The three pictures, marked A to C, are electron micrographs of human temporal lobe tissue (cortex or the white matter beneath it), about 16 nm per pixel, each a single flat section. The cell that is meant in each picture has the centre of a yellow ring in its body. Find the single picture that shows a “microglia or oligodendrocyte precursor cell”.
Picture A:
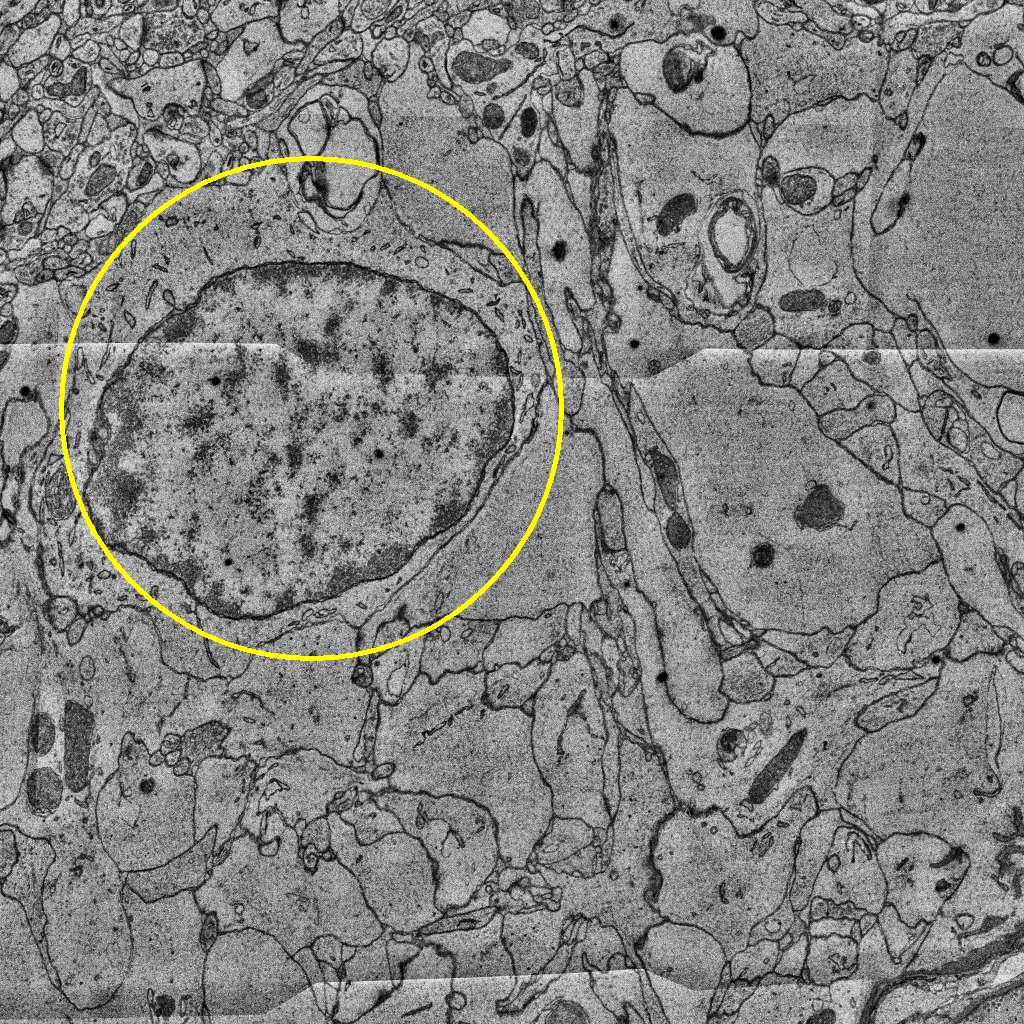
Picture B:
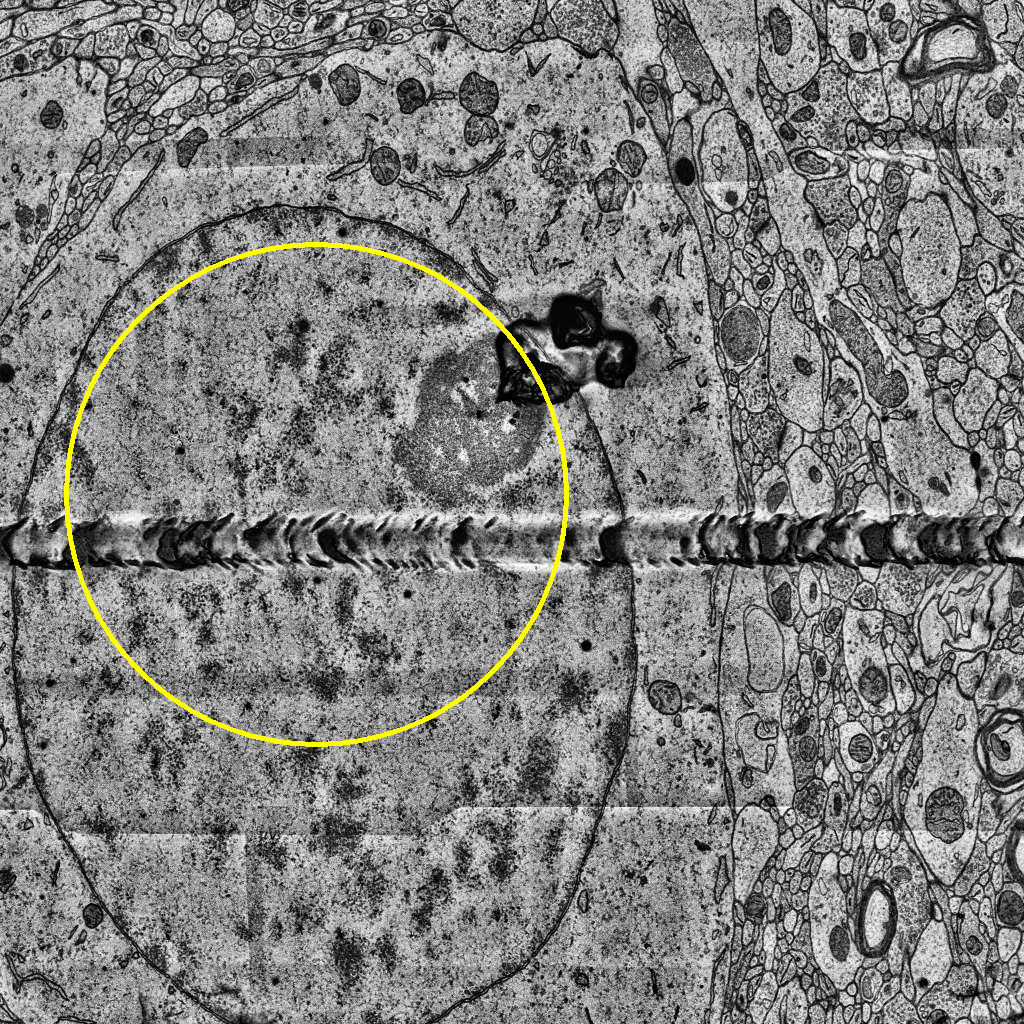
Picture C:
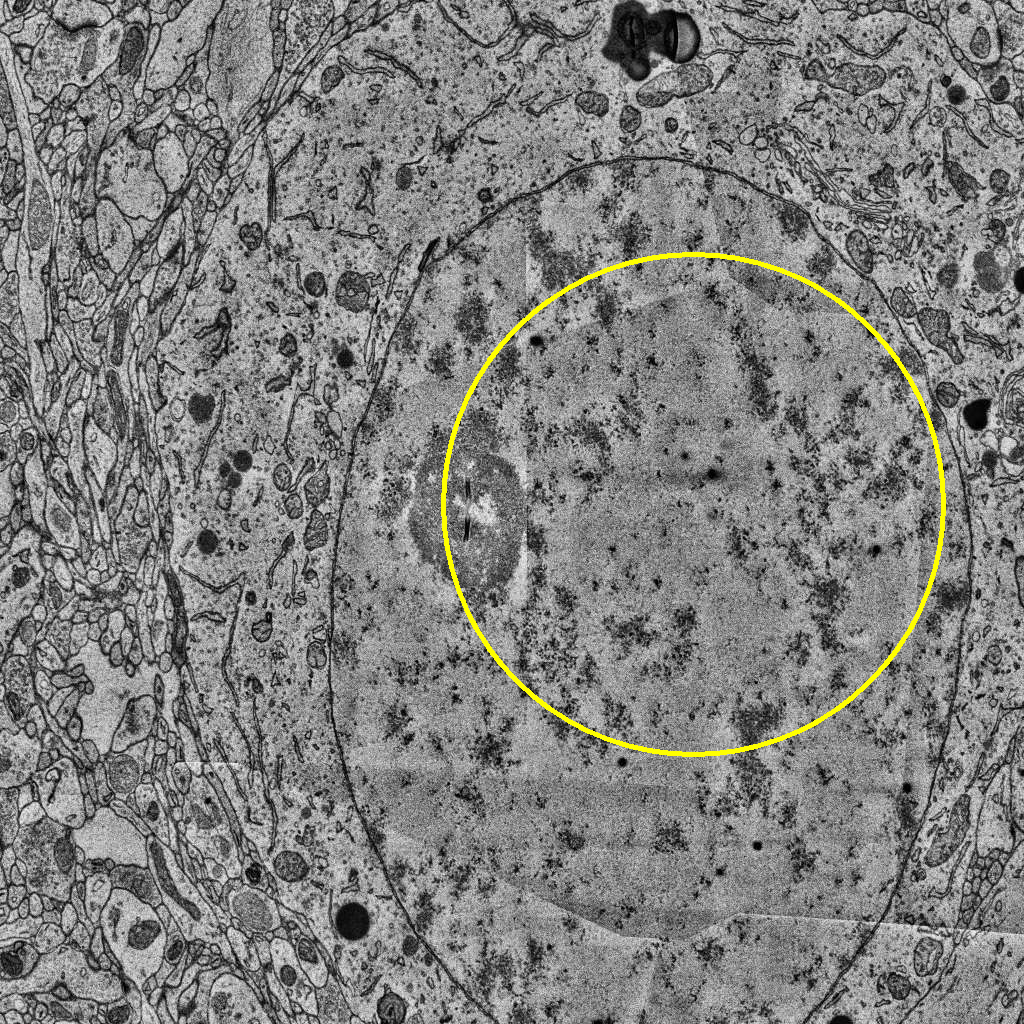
The “microglia or oligodendrocyte precursor cell” is the one in picture A.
